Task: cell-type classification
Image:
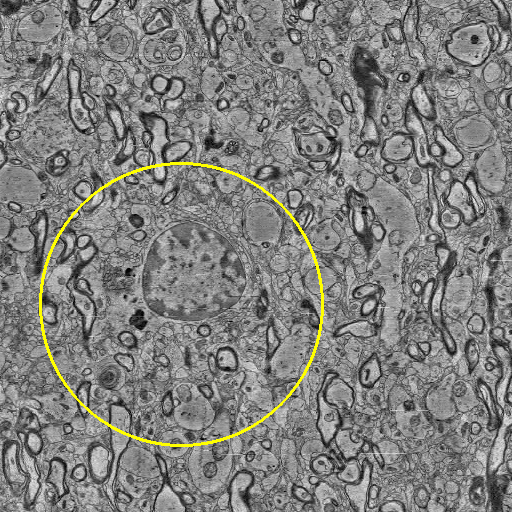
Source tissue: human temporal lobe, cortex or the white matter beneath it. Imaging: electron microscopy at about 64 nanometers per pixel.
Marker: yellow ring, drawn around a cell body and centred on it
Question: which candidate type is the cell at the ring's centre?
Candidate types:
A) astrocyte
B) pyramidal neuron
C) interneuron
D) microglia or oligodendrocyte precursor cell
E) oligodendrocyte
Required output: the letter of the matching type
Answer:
D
